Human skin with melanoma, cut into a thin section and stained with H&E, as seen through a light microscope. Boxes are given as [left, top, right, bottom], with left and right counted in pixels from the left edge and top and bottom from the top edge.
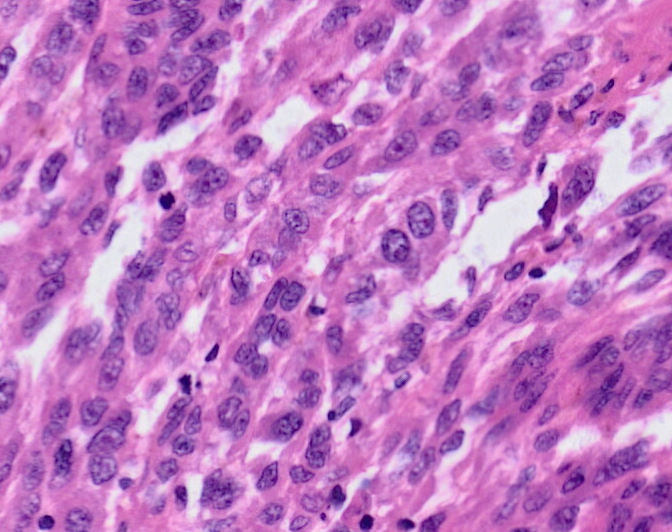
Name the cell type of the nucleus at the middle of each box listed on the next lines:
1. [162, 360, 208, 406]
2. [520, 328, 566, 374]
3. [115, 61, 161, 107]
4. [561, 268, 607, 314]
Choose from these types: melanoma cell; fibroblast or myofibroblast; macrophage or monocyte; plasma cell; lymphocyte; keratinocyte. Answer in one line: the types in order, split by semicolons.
lymphocyte; melanoma cell; melanoma cell; melanoma cell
